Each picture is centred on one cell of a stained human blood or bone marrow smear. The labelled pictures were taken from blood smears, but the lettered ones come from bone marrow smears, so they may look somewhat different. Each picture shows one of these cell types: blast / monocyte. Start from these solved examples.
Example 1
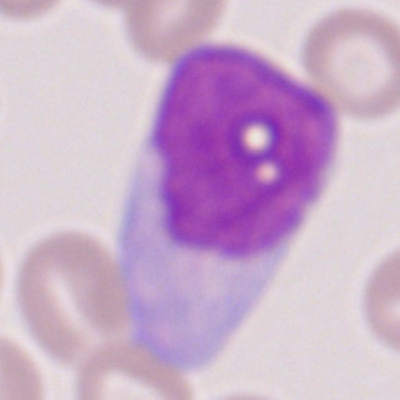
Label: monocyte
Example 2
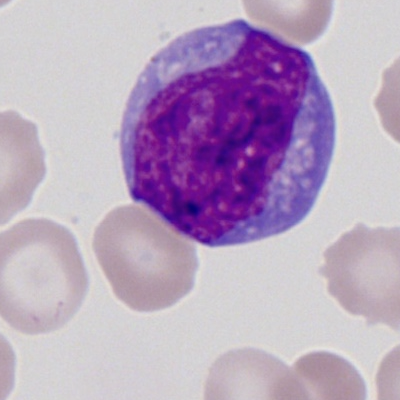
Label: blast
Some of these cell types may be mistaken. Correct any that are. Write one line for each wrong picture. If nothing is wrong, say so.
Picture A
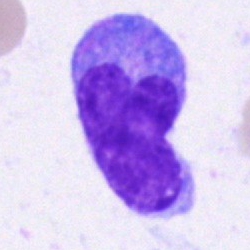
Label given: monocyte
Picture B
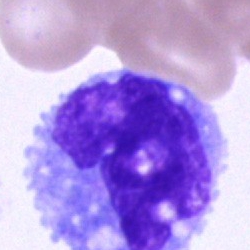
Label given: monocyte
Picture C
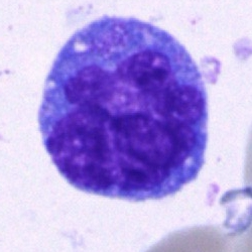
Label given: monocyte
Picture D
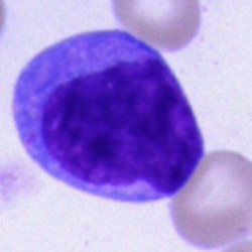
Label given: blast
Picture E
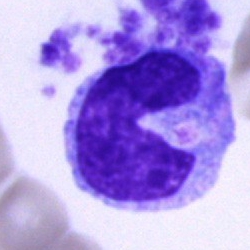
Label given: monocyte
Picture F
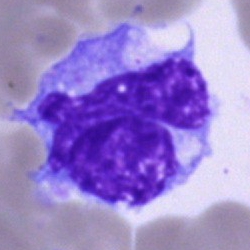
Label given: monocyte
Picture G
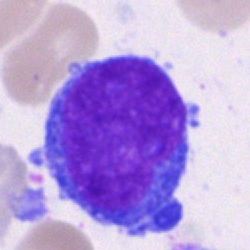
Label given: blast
All labels are correct.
